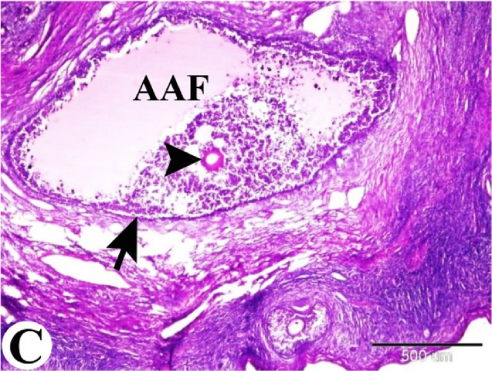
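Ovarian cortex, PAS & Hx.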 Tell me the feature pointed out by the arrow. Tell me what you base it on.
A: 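The line separates the inner cell layer from the loose surrounding stroma.
Answer: follicular basement membrane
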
